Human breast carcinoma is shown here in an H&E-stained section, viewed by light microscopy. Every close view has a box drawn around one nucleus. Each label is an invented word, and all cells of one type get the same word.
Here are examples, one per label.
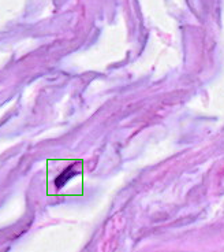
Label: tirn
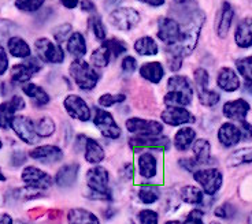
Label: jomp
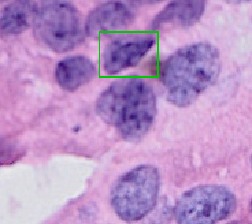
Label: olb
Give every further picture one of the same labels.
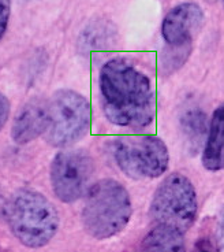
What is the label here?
olb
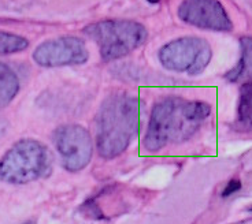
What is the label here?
olb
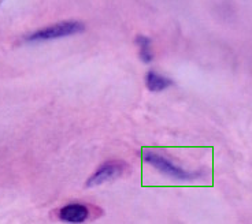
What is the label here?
tirn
